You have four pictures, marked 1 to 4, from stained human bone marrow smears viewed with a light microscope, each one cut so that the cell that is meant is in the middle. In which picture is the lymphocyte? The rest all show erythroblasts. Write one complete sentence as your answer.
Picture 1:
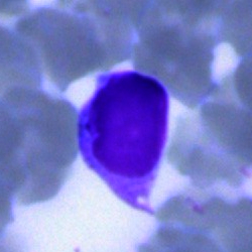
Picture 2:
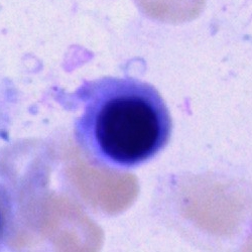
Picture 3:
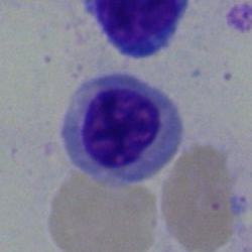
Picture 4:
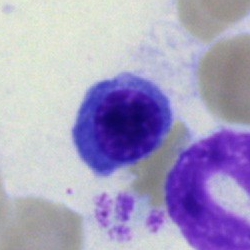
The cell in picture 1 is the lymphocyte.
